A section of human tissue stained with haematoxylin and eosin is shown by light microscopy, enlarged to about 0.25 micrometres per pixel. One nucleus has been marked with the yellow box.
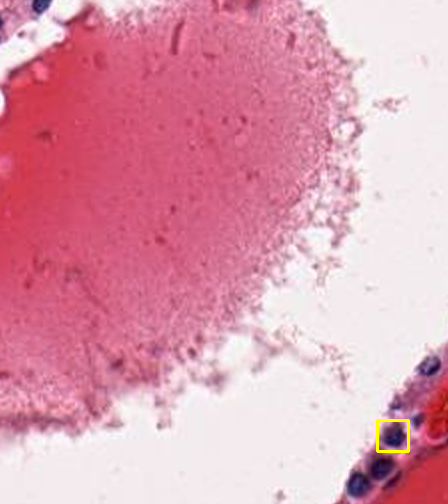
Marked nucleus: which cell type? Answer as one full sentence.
The cell to which the marked nucleus belongs is a thyroid follicular cell.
